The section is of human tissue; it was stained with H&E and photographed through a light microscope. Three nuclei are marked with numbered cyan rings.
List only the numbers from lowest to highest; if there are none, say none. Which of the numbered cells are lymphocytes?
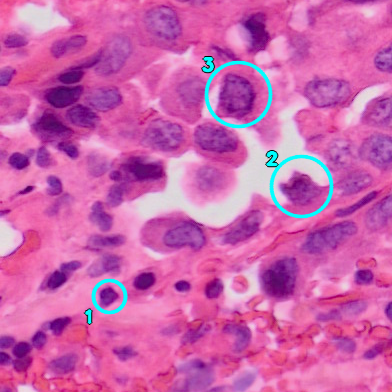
1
